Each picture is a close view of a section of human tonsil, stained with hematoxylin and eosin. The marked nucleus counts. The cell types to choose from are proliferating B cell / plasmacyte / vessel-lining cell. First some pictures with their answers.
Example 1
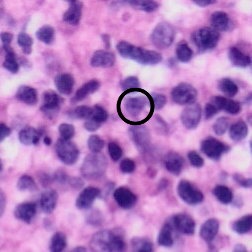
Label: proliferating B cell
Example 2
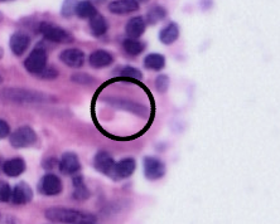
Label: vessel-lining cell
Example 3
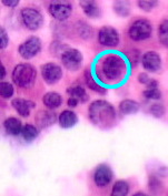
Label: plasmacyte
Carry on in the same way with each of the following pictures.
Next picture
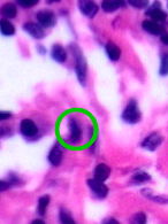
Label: vessel-lining cell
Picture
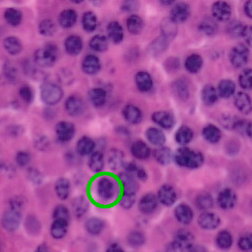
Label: plasmacyte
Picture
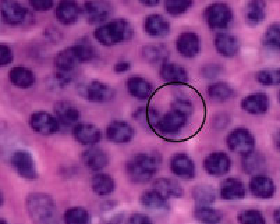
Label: plasmacyte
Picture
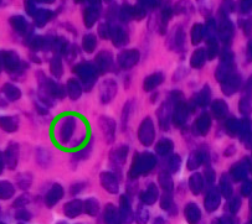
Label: vessel-lining cell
